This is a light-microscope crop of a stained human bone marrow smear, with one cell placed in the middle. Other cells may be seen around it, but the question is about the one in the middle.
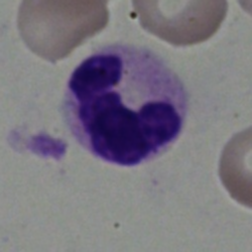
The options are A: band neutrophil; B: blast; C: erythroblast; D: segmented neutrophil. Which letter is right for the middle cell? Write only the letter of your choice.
A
